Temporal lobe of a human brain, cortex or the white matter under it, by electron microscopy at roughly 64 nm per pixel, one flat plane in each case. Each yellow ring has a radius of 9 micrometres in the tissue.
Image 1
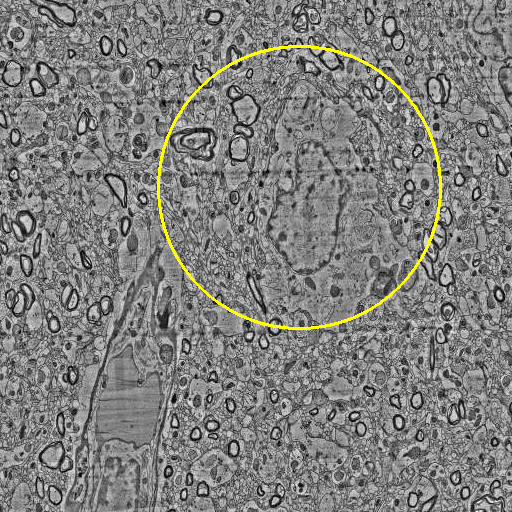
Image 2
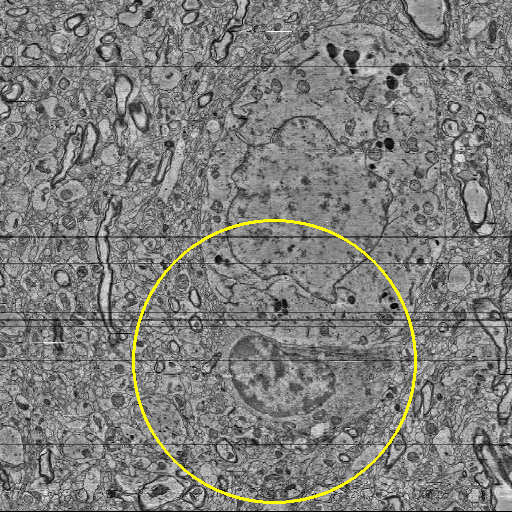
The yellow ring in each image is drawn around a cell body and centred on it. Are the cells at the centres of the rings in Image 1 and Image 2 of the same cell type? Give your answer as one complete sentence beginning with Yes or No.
No, the two cells are of two separate types.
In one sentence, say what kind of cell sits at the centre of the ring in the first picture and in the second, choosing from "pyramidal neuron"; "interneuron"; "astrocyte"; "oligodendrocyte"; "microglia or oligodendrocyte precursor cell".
The first picture's ringed cell is an astrocyte, while the second picture's is an oligodendrocyte.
